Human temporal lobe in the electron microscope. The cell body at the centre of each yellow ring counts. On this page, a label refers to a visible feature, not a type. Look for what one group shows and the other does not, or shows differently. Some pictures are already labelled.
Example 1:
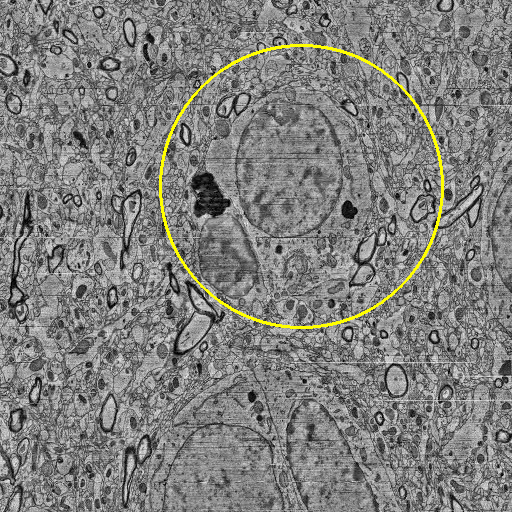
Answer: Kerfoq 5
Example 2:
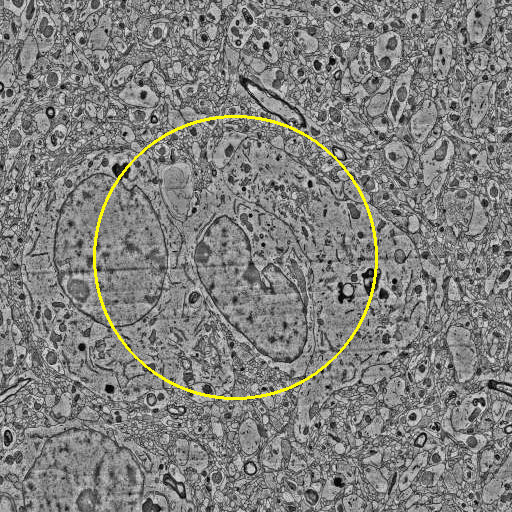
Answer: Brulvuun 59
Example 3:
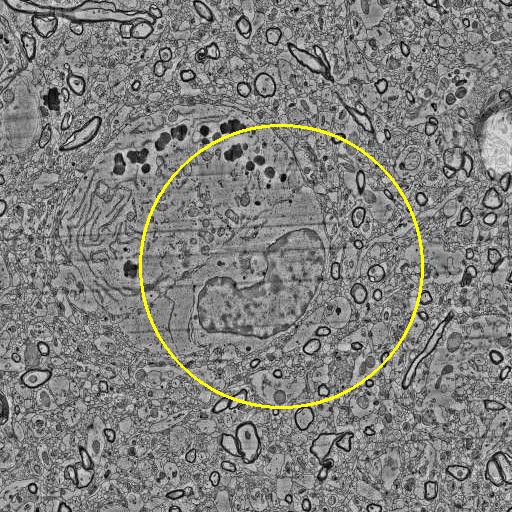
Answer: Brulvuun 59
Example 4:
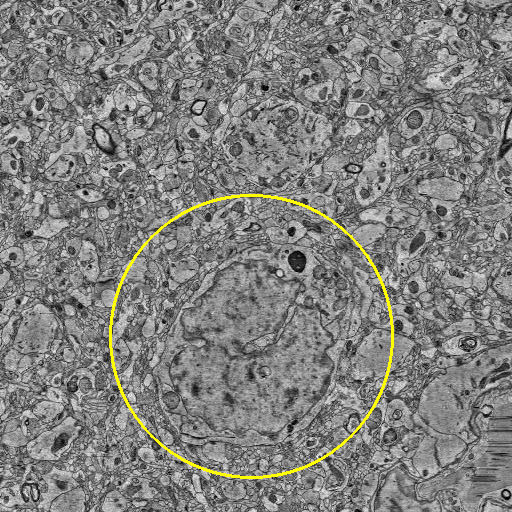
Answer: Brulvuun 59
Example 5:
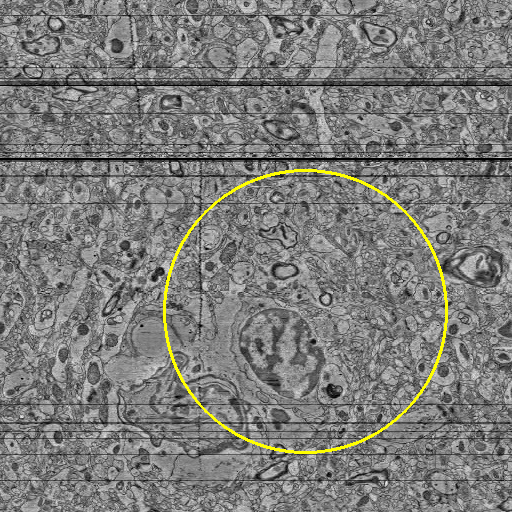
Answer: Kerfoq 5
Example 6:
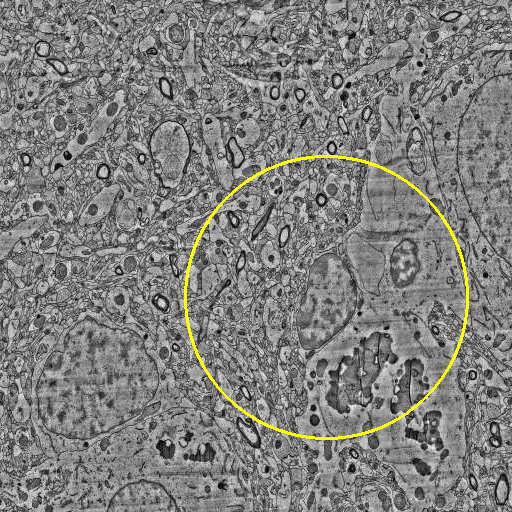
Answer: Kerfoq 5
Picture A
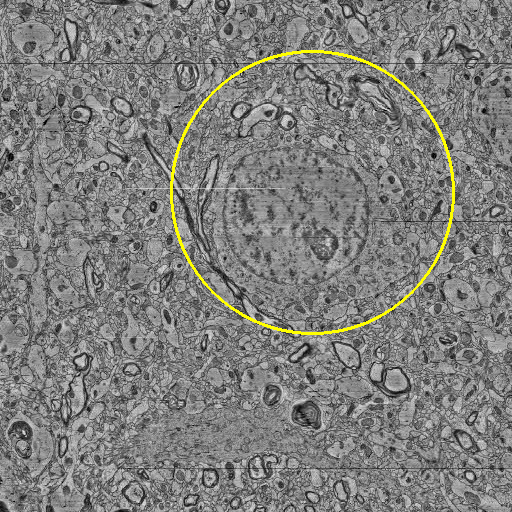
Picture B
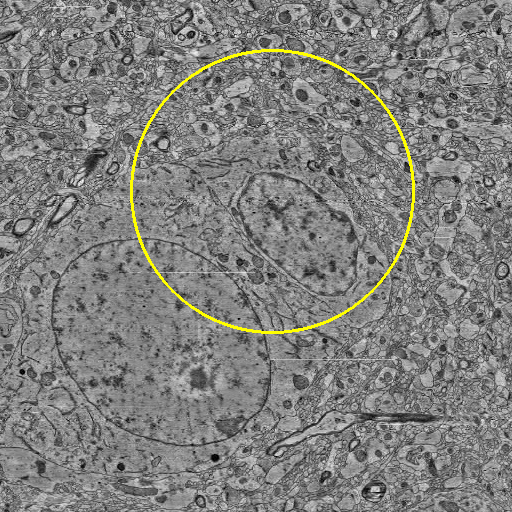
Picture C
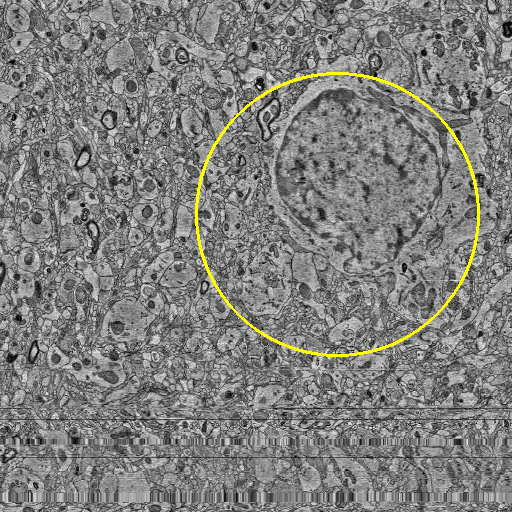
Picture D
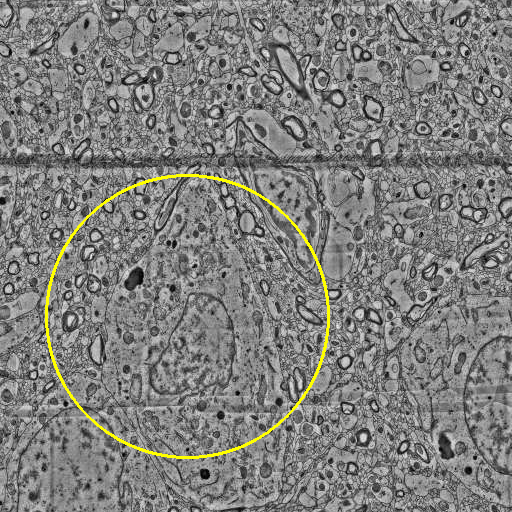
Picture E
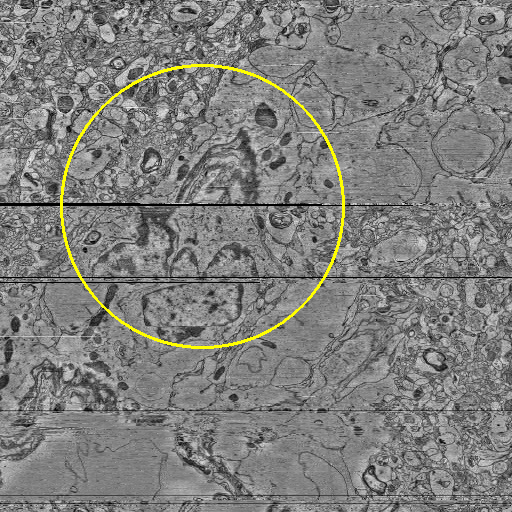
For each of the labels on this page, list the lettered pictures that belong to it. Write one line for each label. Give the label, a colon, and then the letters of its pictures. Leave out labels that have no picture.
Kerfoq 5: A, B
Brulvuun 59: C, D, E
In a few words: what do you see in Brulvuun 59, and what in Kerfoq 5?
Seen in Brulvuun 59: deeply folded or indented nuclear envelopes; seen in Kerfoq 5: smooth nuclear envelopes without deep folds.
